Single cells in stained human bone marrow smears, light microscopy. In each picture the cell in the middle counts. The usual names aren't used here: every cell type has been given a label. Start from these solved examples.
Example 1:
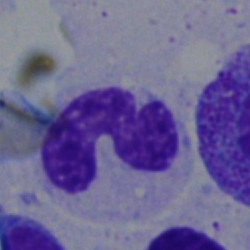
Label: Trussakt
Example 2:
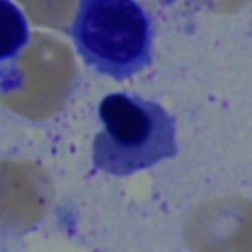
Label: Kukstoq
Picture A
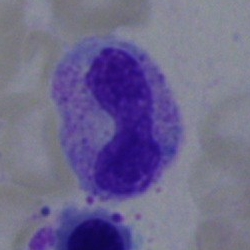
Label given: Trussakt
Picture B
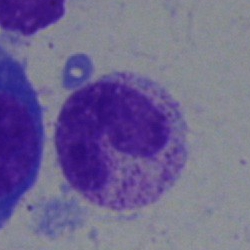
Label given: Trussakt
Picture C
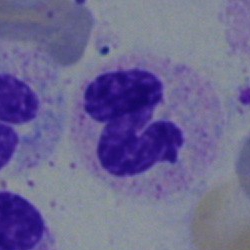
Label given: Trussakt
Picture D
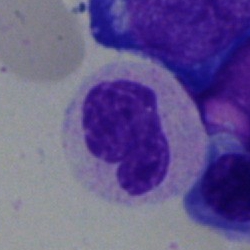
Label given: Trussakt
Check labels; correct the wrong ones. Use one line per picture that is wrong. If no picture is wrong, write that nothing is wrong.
All labels are correct.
